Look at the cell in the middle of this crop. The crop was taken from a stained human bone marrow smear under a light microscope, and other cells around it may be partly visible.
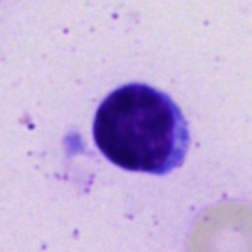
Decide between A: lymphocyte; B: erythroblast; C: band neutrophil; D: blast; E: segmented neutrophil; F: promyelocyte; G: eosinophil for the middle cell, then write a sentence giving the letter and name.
The cell at the centre, correctly named in option A, is a lymphocyte.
